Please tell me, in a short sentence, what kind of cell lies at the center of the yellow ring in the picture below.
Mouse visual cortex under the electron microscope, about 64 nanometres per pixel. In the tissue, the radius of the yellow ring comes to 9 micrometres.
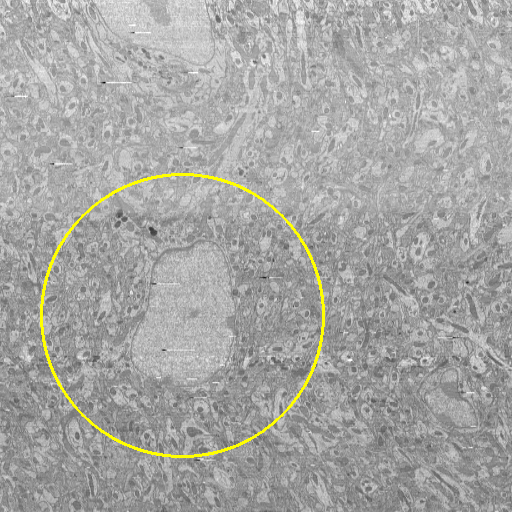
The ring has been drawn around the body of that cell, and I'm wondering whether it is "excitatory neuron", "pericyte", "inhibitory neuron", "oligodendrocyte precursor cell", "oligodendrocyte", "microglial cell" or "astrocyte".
The cell at the center of the ring is an astrocyte.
